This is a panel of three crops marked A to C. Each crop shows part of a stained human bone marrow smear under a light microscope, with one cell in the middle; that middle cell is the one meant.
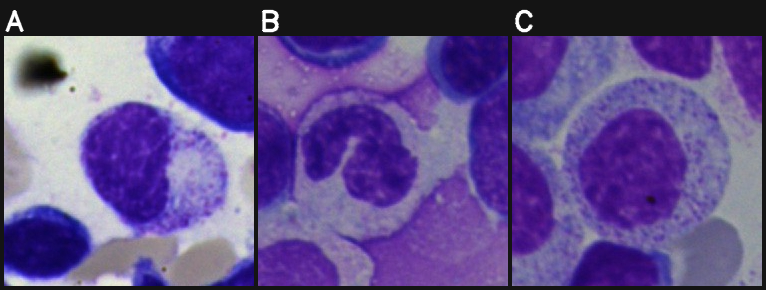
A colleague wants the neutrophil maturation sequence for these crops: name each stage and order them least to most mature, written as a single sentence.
Maturation proceeds in the order crop C (a myelocyte), crop A (a metamyelocyte) and crop B (a segmented neutrophil).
